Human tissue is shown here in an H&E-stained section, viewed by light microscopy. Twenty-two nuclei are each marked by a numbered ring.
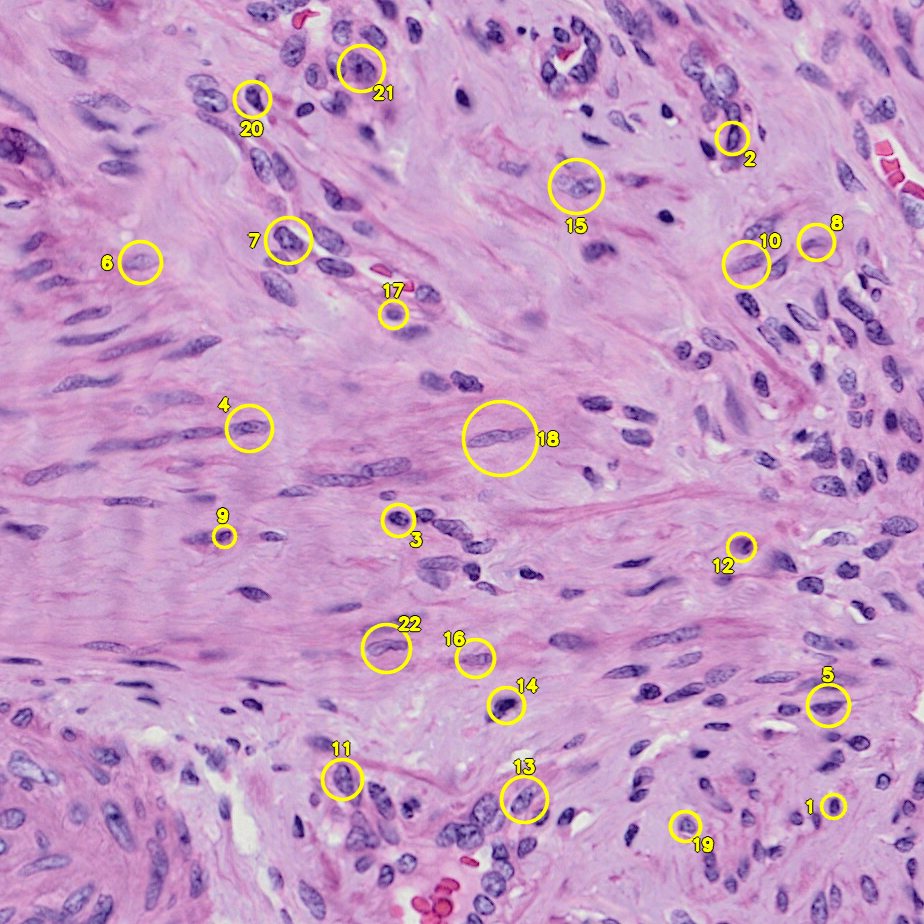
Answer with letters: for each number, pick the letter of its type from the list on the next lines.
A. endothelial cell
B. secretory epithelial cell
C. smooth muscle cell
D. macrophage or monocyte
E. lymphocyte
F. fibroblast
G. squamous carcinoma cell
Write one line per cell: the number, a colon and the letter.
1: F
2: A
3: E
4: C
5: F
6: C
7: A
8: C
9: C
10: C
11: A
12: C
13: A
14: E
15: C
16: C
17: A
18: C
19: C
20: E
21: A
22: C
